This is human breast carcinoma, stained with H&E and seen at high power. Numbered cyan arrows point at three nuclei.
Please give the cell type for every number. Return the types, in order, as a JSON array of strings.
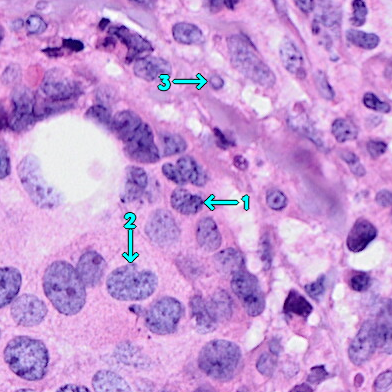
["carcinoma cell", "carcinoma cell", "macrophage, monocyte or dendritic cell"]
